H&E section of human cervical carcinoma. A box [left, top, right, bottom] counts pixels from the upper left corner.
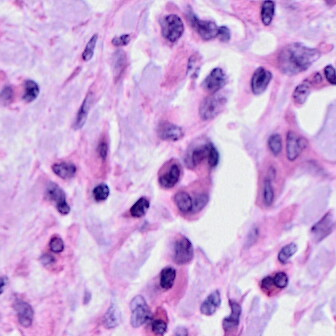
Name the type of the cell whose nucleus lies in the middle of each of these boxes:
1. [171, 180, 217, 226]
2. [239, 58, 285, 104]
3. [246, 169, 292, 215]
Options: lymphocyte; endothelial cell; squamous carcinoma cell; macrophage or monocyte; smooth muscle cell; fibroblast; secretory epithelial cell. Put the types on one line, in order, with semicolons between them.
macrophage or monocyte; lymphocyte; endothelial cell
